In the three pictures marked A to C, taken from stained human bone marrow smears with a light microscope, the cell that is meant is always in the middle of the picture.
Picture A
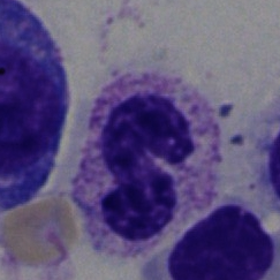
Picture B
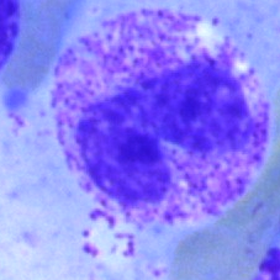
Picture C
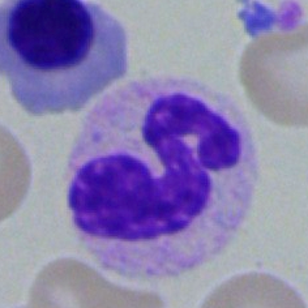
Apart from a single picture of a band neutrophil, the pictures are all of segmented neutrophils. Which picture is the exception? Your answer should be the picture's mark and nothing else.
B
